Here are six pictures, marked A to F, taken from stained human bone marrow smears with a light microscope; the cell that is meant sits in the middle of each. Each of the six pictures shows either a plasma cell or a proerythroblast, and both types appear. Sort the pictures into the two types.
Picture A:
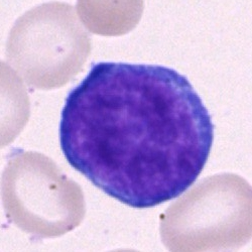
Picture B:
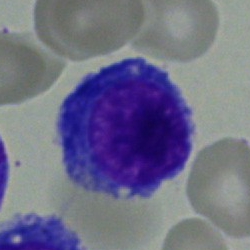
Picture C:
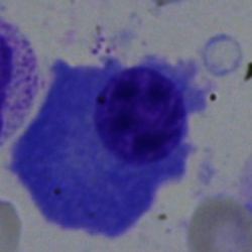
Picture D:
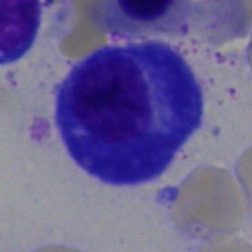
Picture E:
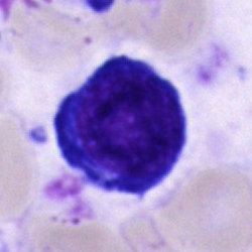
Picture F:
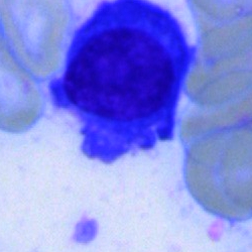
A: proerythroblast
B: proerythroblast
C: plasma cell
D: plasma cell
E: proerythroblast
F: plasma cell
